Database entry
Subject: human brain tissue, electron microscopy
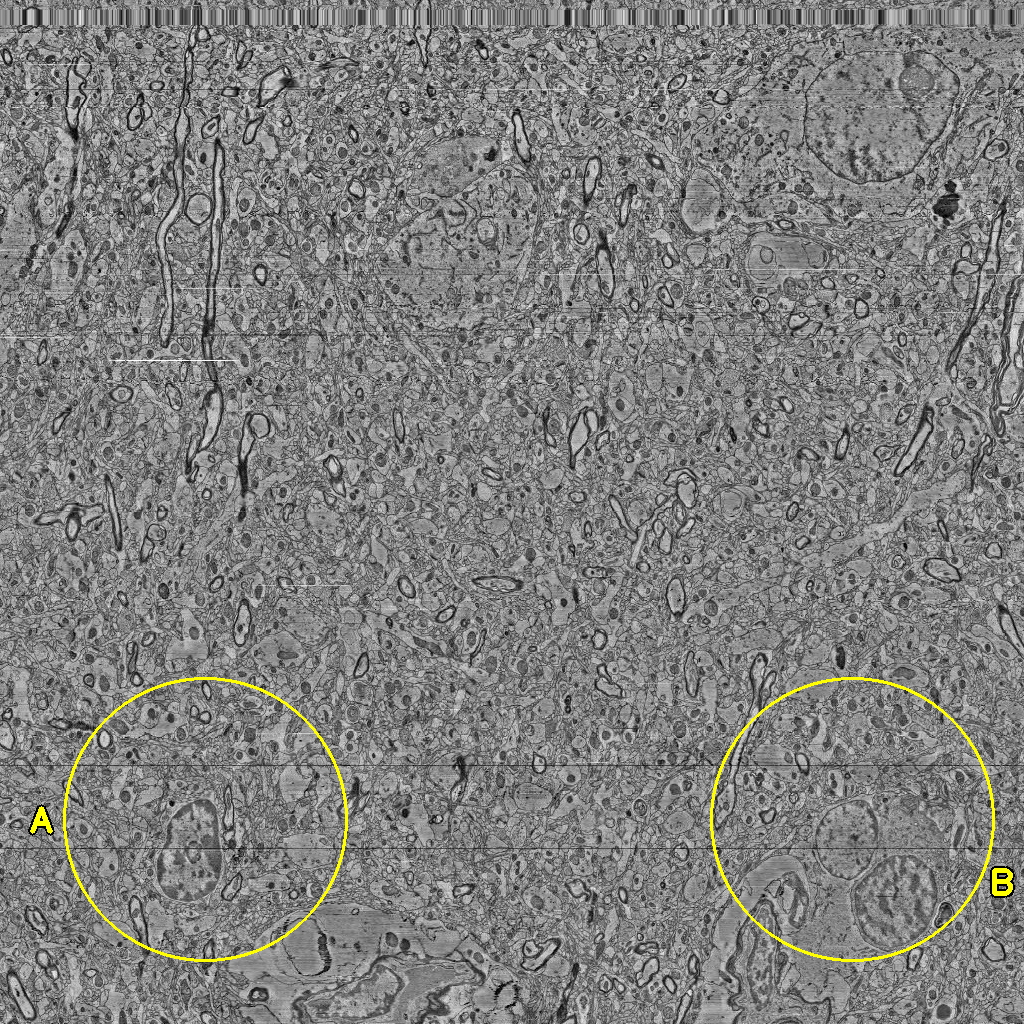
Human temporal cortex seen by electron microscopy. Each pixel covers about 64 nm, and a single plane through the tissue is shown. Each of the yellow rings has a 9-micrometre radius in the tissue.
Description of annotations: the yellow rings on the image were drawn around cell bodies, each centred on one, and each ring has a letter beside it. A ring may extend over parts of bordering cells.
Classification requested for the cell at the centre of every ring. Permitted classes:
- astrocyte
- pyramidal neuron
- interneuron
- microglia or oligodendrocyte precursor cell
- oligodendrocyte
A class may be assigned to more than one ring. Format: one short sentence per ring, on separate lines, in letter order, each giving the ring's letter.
The cell body at the centre of ring A is a microglial cell or oligodendrocyte precursor cell.
The cell body at the centre of ring B is a microglial cell or oligodendrocyte precursor cell.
